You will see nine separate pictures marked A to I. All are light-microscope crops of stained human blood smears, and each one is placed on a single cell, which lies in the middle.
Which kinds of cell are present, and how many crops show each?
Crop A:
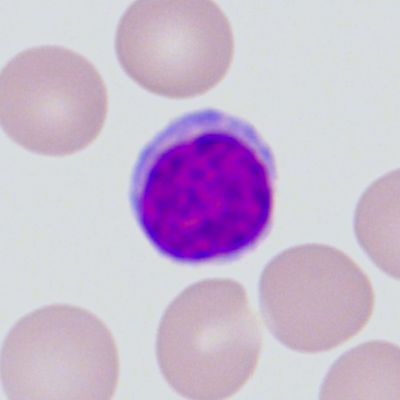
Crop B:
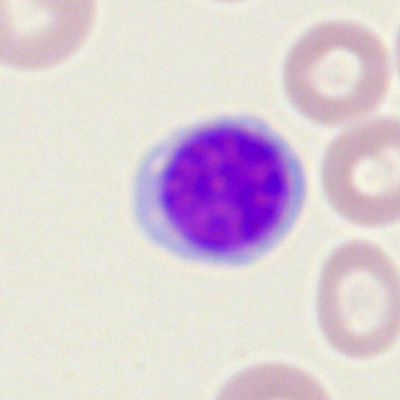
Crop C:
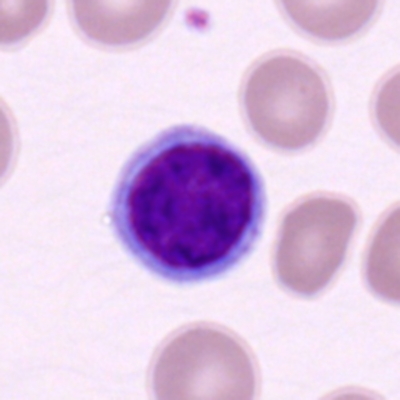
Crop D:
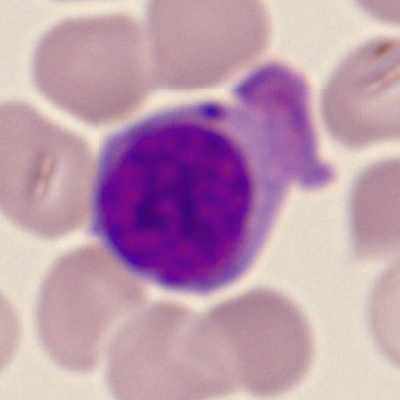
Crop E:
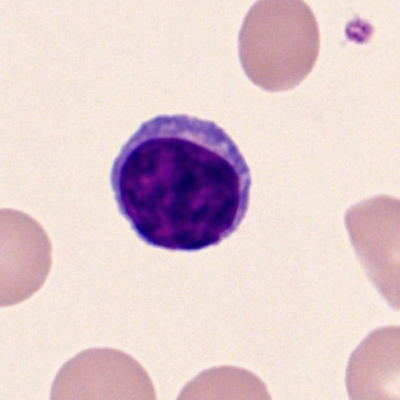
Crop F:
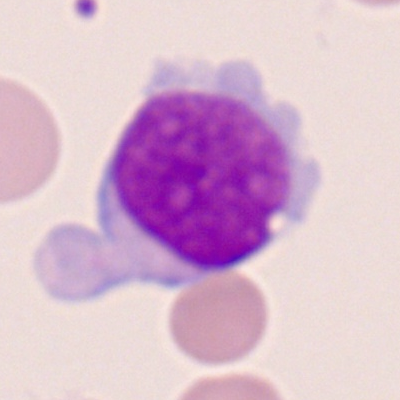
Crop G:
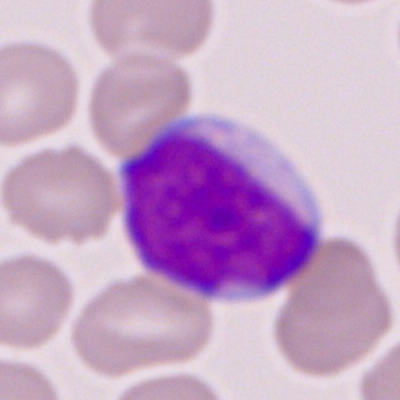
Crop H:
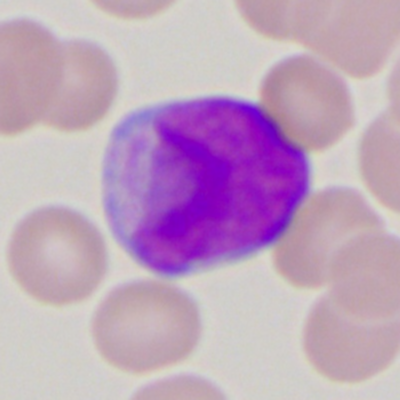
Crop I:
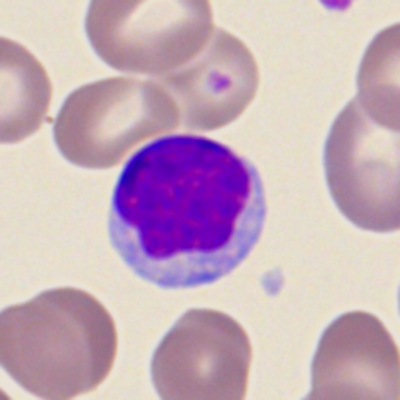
lymphocyte: 5
blast: 4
